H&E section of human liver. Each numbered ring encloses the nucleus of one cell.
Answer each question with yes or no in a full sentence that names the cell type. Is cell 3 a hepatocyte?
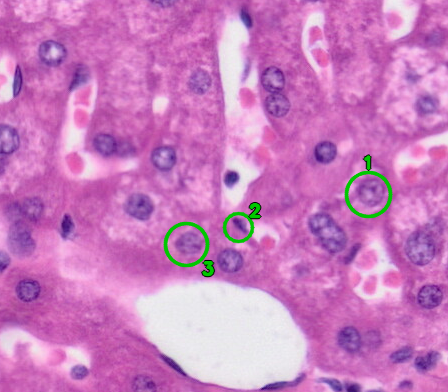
Yes, the marked cell numbered 3 is a hepatocyte.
